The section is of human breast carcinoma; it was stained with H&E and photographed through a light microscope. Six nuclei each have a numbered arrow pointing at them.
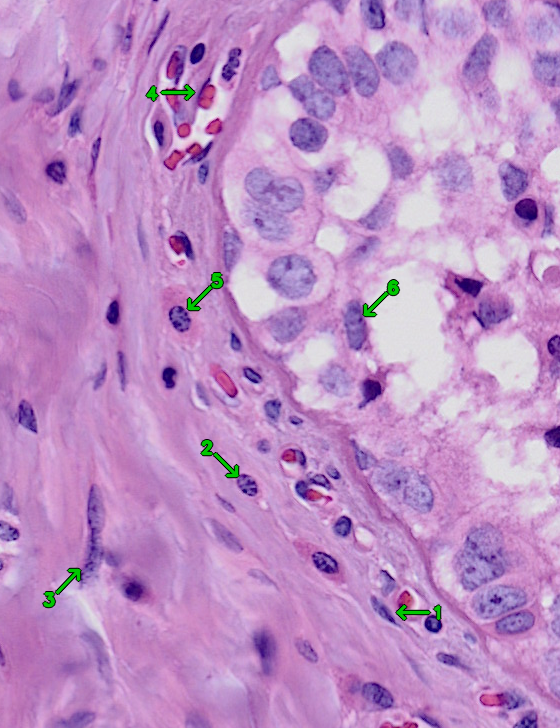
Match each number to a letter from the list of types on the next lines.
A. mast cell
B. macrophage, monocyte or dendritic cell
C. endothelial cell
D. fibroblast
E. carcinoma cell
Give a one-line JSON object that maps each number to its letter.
{"1": "D", "2": "A", "3": "D", "4": "C", "5": "A", "6": "E"}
